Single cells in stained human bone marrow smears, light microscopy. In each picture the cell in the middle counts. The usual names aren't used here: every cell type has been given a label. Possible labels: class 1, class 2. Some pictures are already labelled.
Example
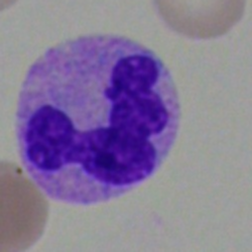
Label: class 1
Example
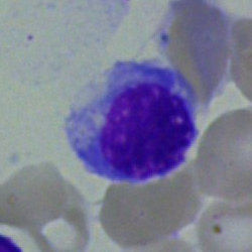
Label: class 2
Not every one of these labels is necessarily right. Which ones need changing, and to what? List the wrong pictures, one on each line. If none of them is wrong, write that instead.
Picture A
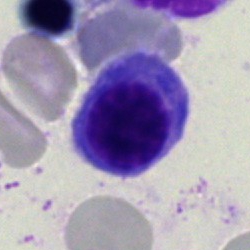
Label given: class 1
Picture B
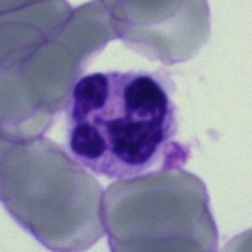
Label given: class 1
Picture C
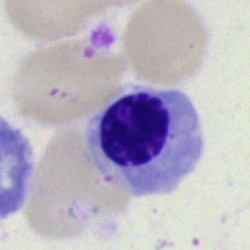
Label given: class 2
Wrong: A (class 1); correct: class 2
